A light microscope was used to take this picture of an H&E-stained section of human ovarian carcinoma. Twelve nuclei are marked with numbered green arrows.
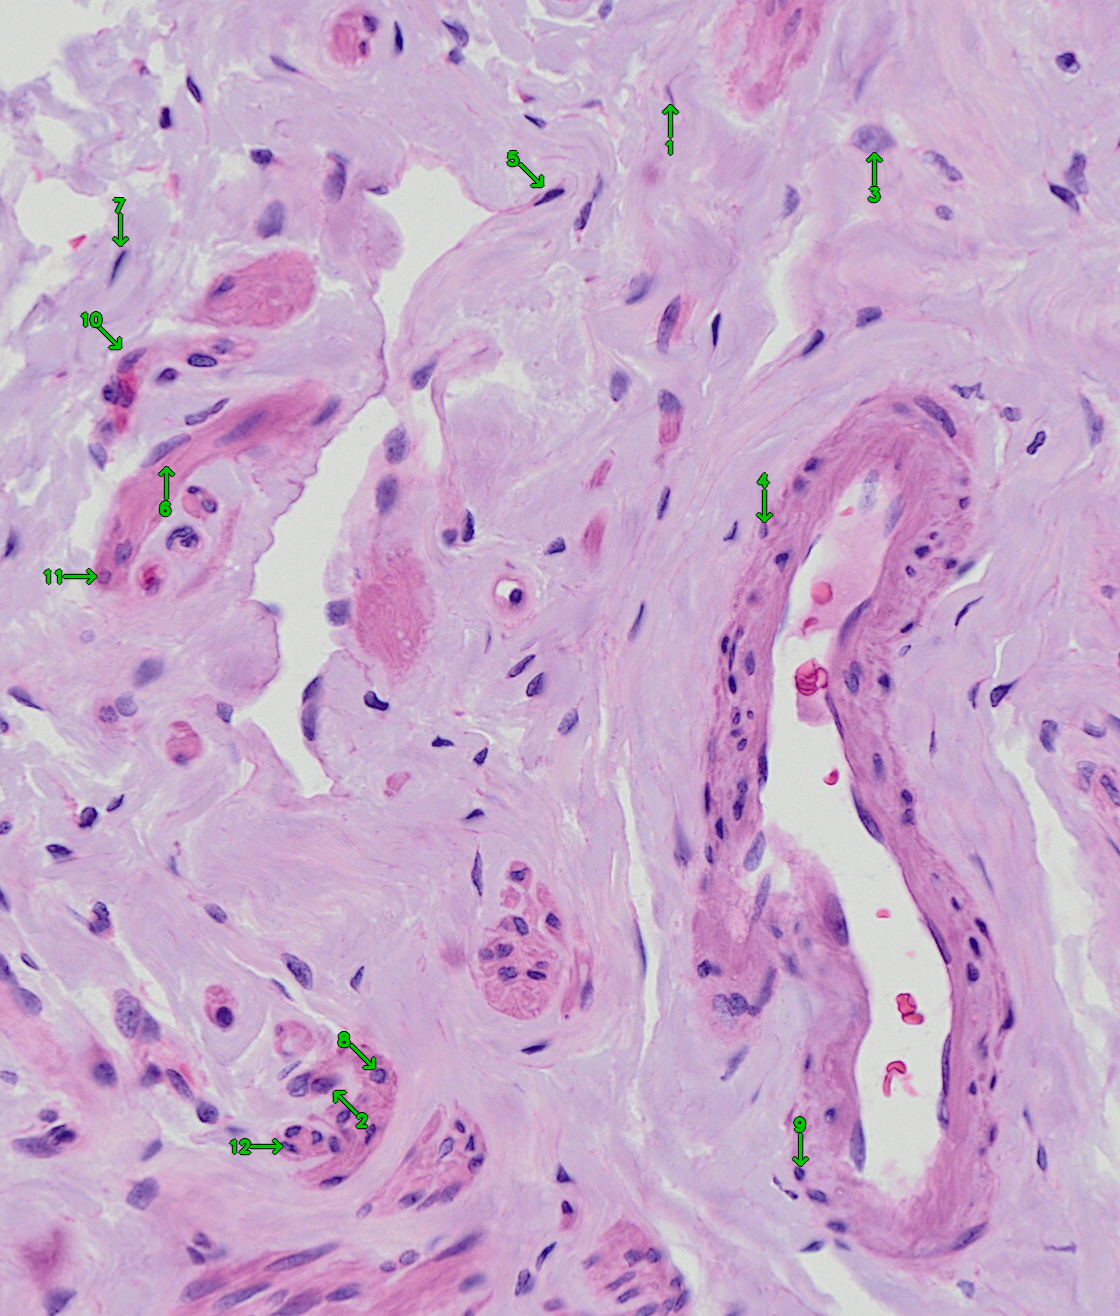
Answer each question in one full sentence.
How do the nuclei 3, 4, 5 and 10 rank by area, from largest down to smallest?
Going from the biggest nucleus down to the smallest gives 3, 10, 5, 4.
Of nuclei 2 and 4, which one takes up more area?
At about 3 times the area of nucleus 4, nucleus 2 is the larger of the two.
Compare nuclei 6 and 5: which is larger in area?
The larger nucleus is 6, at roughly 2.5 times the area of 5.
